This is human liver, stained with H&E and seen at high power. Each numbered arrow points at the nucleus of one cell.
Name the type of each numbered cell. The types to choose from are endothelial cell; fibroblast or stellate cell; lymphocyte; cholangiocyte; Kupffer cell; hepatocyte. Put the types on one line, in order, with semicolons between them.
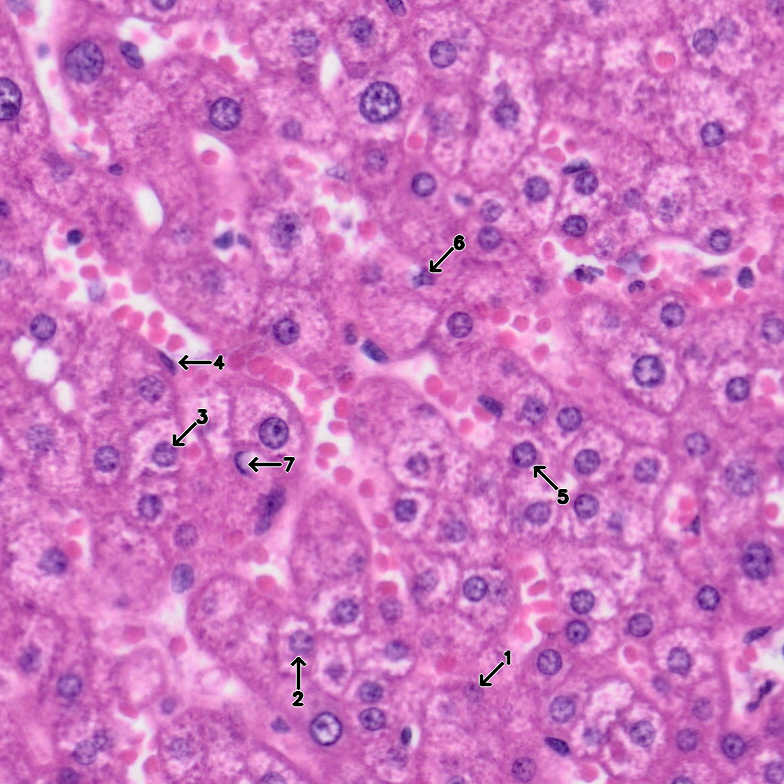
hepatocyte; hepatocyte; hepatocyte; endothelial cell; hepatocyte; endothelial cell; endothelial cell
